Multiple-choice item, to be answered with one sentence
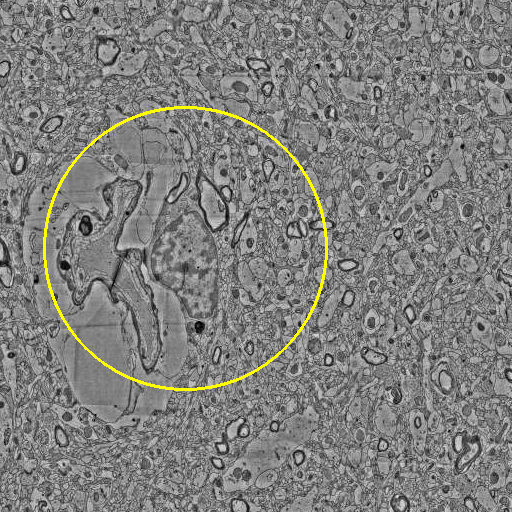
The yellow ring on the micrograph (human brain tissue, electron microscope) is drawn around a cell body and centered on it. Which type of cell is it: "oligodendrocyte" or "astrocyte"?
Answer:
The ring is centered on an oligodendrocyte.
